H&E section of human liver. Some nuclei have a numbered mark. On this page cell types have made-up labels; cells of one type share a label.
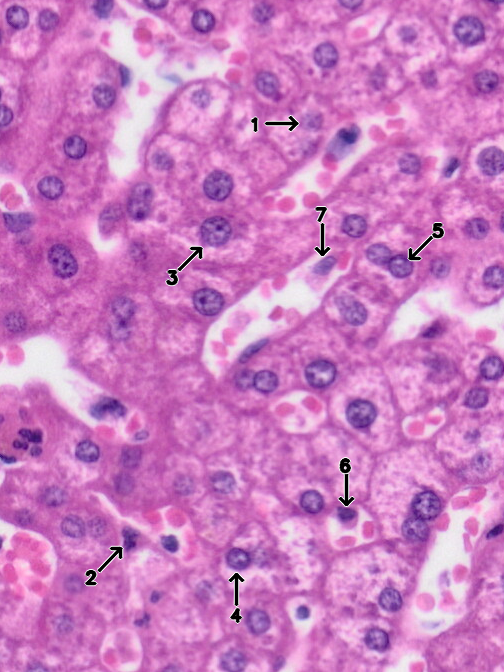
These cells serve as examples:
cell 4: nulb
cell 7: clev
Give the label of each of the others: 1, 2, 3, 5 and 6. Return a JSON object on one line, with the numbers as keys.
{"1": "nulb", "2": "clev", "3": "nulb", "5": "nulb", "6": "clev"}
